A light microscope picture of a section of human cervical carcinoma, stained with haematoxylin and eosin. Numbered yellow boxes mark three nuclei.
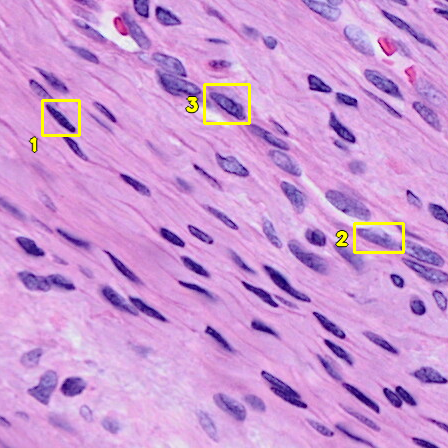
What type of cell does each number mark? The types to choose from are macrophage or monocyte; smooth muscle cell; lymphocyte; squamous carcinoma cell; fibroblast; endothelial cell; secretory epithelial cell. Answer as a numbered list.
1. fibroblast
2. endothelial cell
3. endothelial cell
